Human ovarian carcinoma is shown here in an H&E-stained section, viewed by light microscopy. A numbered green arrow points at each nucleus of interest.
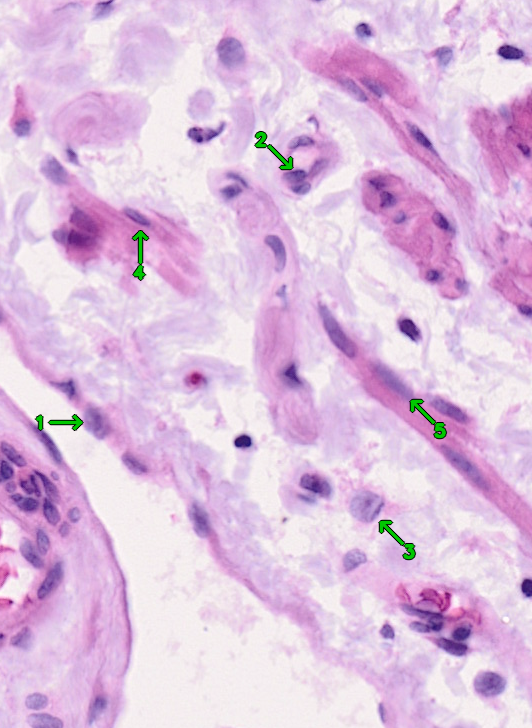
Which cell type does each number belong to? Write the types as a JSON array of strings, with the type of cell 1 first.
["endothelial cell", "endothelial cell", "fibroblast", "smooth muscle cell", "smooth muscle cell"]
